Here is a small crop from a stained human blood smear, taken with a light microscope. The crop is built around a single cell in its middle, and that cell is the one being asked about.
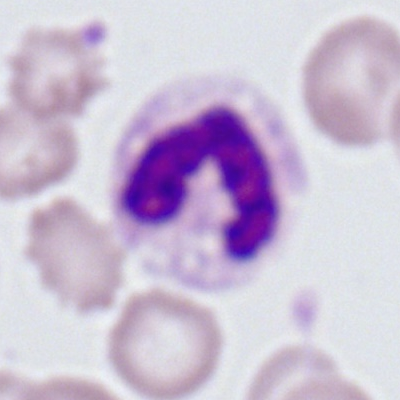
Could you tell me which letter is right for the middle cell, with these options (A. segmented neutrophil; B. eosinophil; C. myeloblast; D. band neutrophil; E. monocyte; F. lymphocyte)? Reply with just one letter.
D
